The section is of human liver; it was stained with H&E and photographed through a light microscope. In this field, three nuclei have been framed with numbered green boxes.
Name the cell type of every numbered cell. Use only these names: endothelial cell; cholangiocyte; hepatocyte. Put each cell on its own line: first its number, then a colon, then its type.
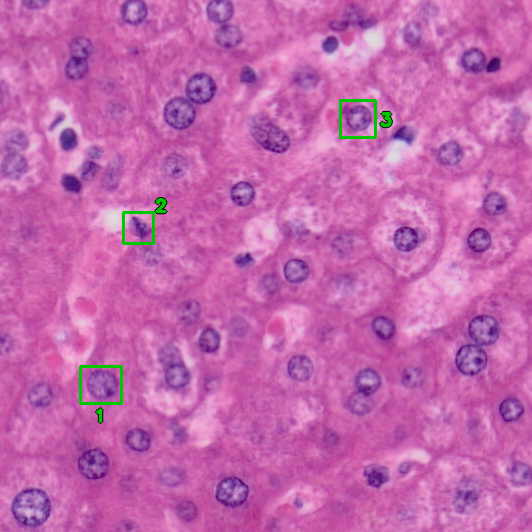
1: hepatocyte
2: endothelial cell
3: hepatocyte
